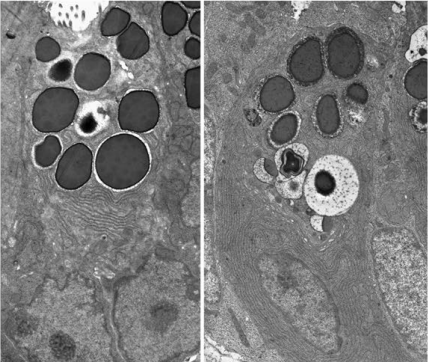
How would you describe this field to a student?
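Two Paneth cells of the small intestine are shown side by side at the electron-microscope level, each with a cluster of secretory granules in the cytoplasm above the nucleus. In the left cell the granules are large, round and uniformly electron-dense, packed closely together, some with a thin pale rim. In the right cell the dense granules are mostly smaller, and several are surrounded by pale halos, with one pale vacuole holding a small dark core.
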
